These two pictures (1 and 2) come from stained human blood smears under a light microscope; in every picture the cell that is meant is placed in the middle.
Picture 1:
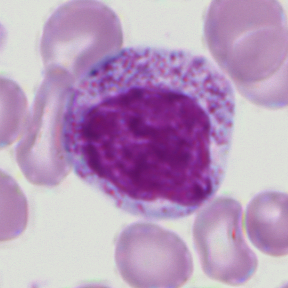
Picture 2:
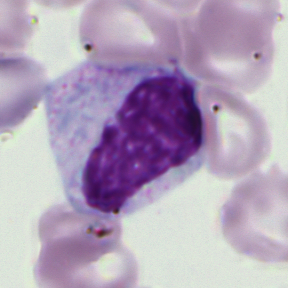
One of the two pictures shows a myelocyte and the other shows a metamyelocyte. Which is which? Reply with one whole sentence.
In picture 1 the cell is a myelocyte; in picture 2, a metamyelocyte.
